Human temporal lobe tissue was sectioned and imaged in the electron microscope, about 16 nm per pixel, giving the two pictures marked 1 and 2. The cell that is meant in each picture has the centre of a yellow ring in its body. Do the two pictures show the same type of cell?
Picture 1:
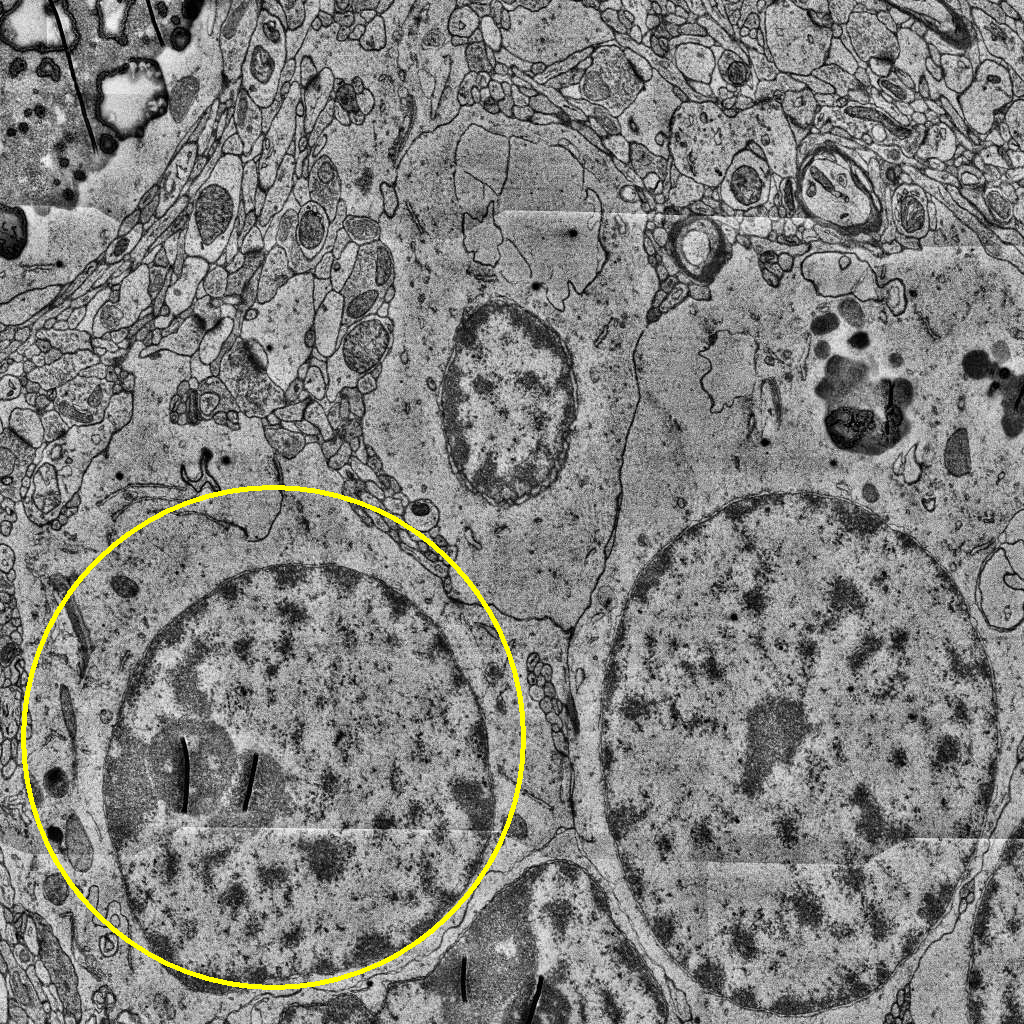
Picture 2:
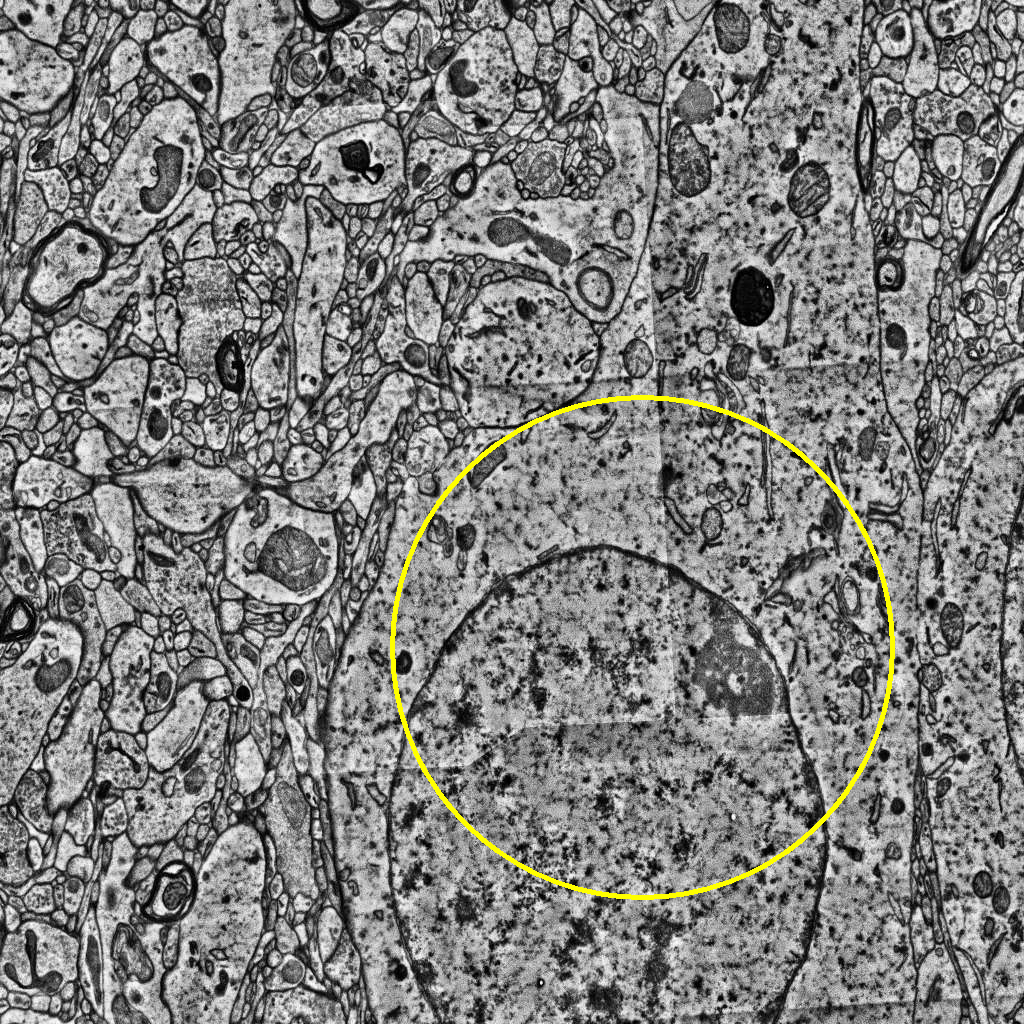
No, picture 1 shows an astrocyte and picture 2 shows a pyramidal neuron.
